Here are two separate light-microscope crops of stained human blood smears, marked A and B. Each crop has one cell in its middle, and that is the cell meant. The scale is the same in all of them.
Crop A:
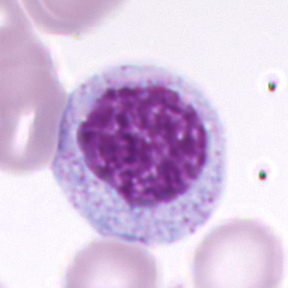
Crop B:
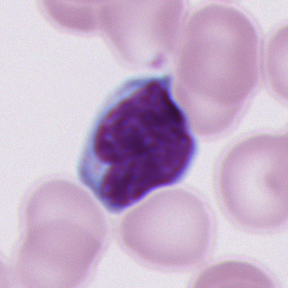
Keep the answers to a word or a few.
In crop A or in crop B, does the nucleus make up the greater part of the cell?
B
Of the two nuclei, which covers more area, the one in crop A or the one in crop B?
A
